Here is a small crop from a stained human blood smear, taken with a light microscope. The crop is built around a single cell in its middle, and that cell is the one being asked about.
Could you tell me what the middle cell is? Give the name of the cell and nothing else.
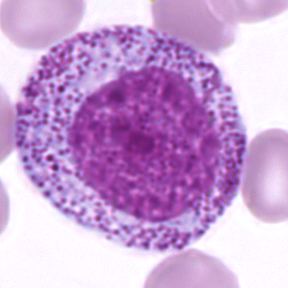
myelocyte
